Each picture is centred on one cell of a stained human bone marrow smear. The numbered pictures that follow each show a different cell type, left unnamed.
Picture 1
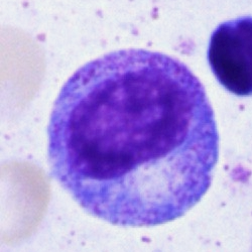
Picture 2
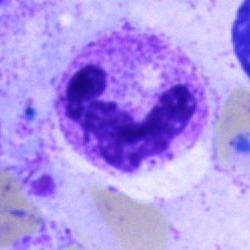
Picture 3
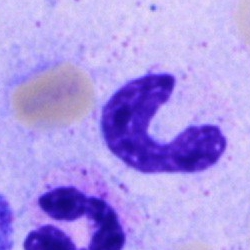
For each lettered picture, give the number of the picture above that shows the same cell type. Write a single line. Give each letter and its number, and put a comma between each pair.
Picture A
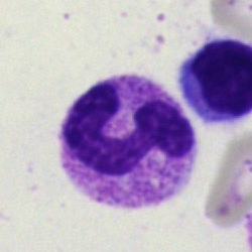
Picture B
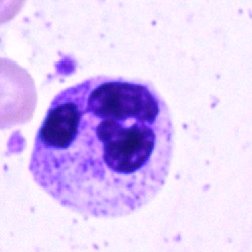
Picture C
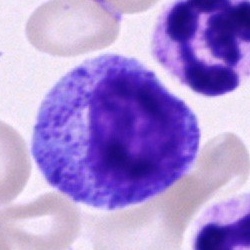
A 2, B 2, C 1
